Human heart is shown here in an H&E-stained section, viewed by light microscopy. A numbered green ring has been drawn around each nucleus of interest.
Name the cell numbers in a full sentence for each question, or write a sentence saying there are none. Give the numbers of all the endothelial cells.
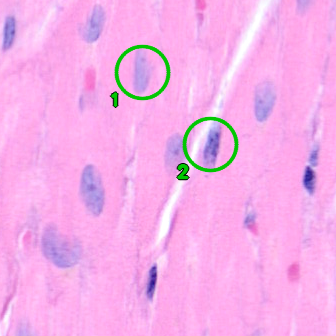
It is cell 2, and no other numbered cell, that is an endothelial cell.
